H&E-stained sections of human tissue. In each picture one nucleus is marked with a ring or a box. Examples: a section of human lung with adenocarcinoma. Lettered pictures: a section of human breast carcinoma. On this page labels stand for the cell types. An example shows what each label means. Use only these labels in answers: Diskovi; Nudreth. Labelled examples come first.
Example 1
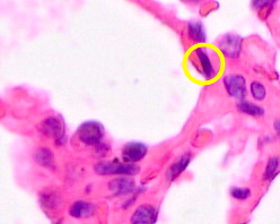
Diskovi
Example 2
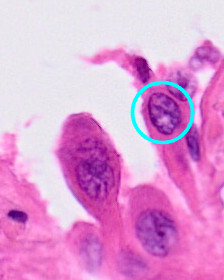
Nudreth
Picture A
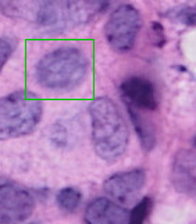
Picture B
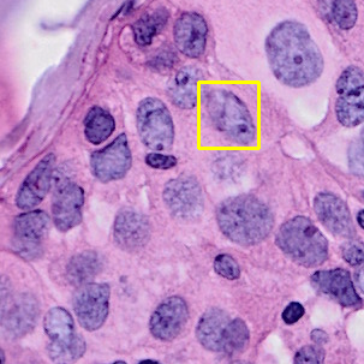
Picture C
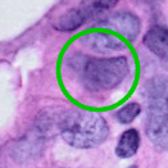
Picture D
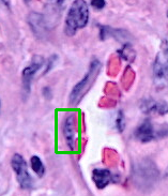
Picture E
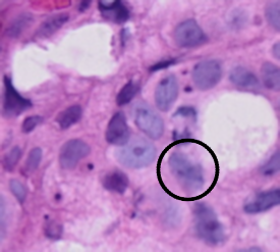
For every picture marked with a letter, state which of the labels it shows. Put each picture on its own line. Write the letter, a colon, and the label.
A: Nudreth
B: Nudreth
C: Nudreth
D: Diskovi
E: Nudreth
